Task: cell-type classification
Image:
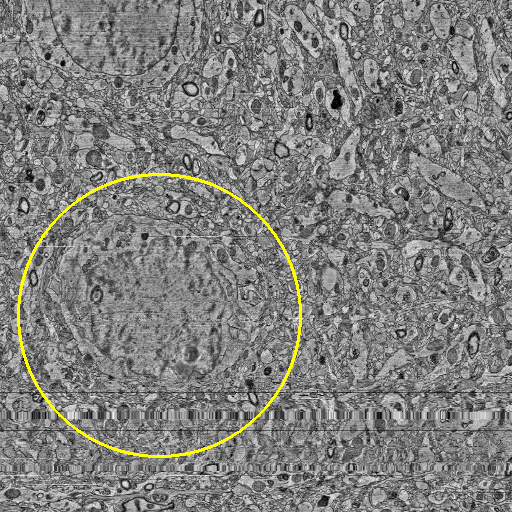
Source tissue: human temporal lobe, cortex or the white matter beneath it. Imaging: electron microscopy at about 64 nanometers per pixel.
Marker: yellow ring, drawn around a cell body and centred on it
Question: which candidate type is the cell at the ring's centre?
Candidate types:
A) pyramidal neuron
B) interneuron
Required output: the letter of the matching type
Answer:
B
